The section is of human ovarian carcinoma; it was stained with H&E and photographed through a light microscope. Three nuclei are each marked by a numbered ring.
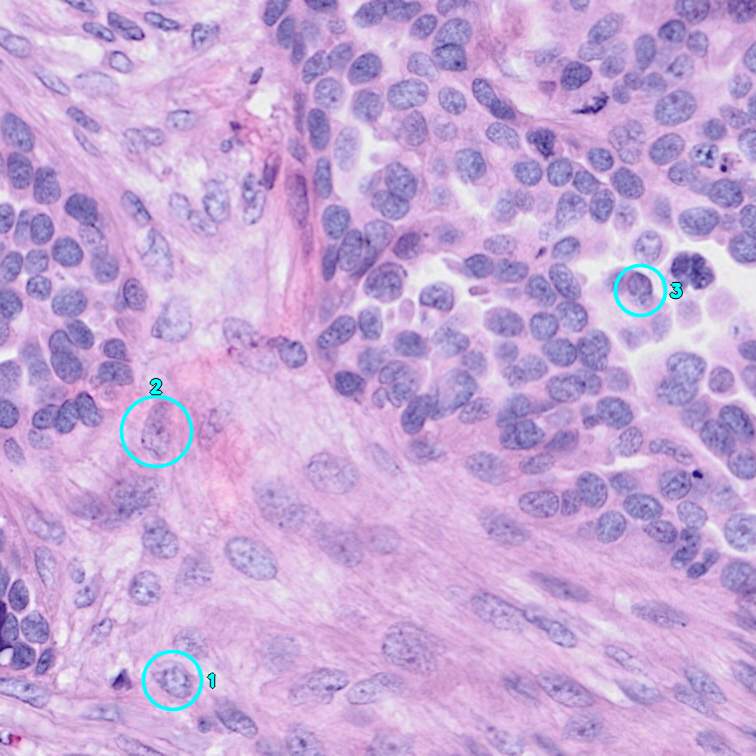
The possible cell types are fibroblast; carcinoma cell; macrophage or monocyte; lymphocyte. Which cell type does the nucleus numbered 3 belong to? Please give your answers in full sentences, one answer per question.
The cell that is numbered 3 is a carcinoma cell.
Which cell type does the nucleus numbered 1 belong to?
In this section, the cell numbered 1 is a fibroblast.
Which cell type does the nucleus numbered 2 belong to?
Number 2 among the marked cells is a fibroblast.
